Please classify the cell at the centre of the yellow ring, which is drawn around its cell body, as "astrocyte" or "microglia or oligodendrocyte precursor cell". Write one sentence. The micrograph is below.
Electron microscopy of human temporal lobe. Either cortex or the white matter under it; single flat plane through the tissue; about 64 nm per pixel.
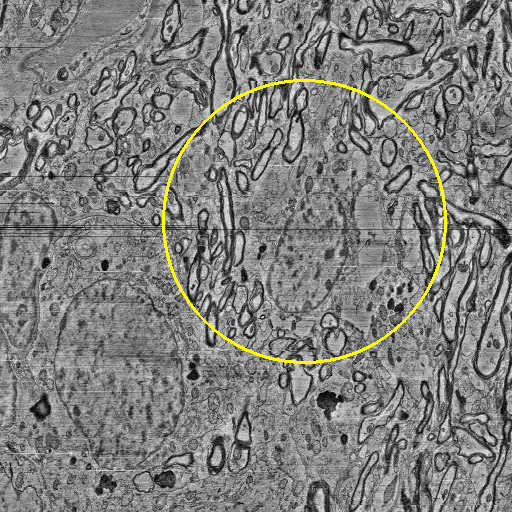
The cell at the ring's centre is classified as an astrocyte.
